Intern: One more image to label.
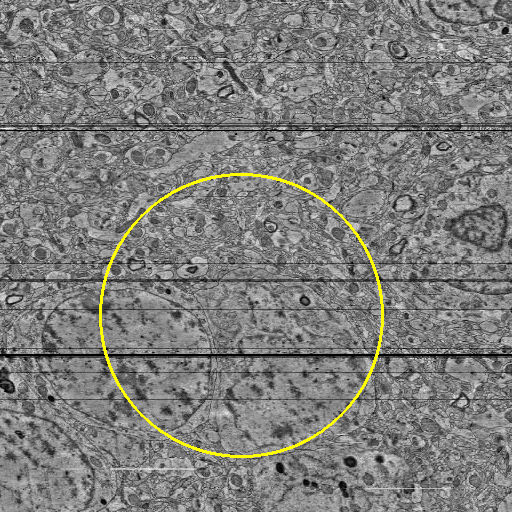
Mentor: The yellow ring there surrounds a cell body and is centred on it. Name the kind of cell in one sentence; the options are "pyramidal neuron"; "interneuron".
The ring marks the cell body of an interneuron.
